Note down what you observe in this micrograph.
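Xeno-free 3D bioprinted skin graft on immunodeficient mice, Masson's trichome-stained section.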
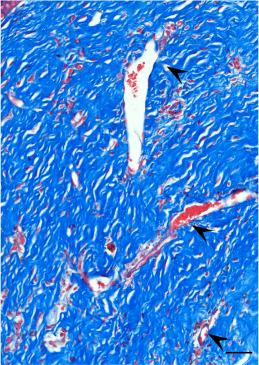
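This is dermis stained deep blue by dense collagen, crossed by several vessels filled with red blood cells. Collagen fibres run in wavy bundles through the whole field. A long open vessel runs vertically near the centre, and other elongated vessels below are packed with bright red erythrocytes. The picture is of a collagen-rich, well-vascularised dermis.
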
